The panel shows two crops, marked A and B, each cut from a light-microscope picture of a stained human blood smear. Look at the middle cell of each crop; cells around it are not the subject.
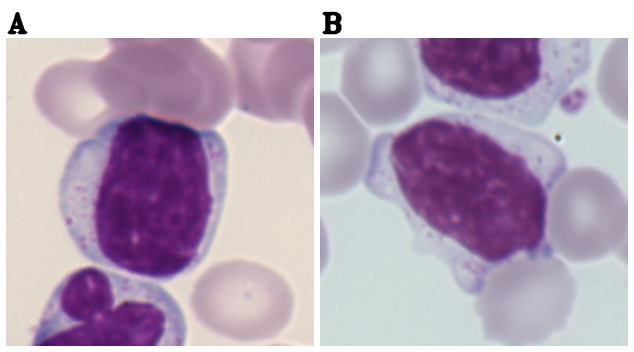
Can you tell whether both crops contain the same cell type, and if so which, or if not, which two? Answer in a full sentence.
Yes, both crops are centred on cells that are large granular lymphocytes.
